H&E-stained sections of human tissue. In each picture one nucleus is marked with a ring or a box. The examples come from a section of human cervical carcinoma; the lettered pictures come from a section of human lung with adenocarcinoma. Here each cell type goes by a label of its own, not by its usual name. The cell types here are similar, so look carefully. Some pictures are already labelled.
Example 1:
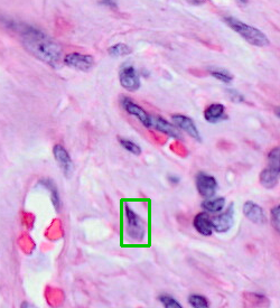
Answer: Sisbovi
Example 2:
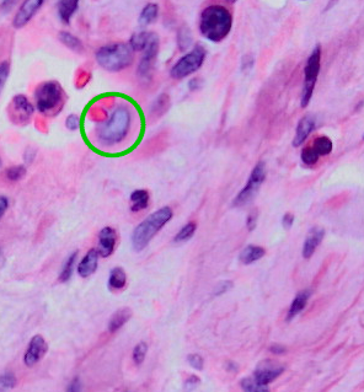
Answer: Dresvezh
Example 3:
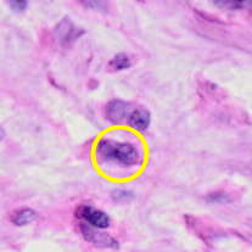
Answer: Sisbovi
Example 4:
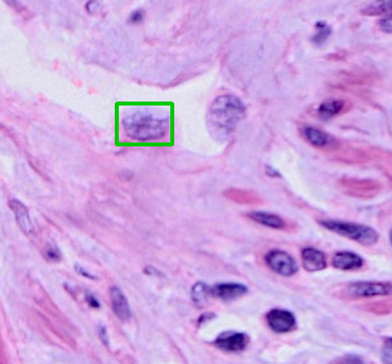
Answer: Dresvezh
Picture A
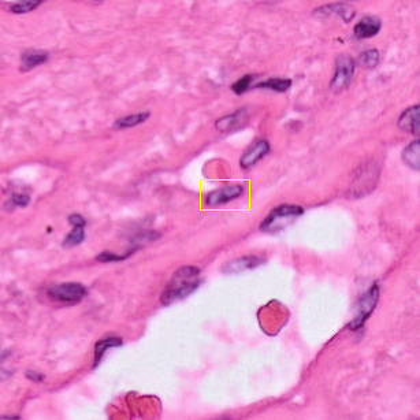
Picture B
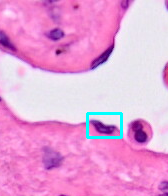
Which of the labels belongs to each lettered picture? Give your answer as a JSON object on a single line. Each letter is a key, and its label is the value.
{"A": "Dresvezh", "B": "Dresvezh"}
